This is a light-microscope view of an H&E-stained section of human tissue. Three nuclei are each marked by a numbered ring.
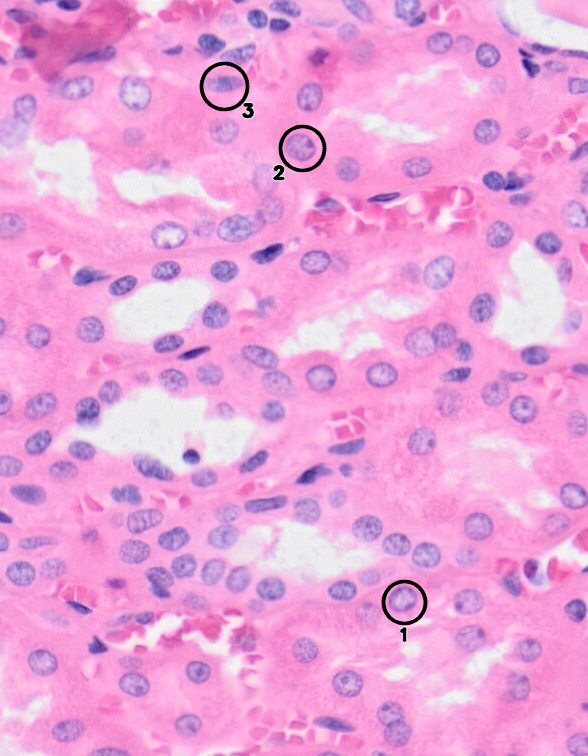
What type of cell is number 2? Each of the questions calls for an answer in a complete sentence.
The cell to which the number 2 is assigned is a proximal tubule cell.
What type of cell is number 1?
Marked with the number 1, this cell is a proximal tubule cell.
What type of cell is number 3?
The cell that goes by number 3 is an endothelial cell.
